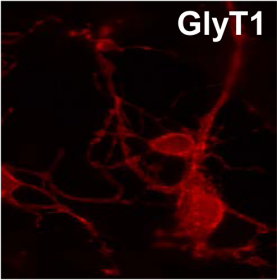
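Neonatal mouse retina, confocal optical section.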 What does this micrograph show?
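Two rounded-to-oval cell bodies lie one above the other near the centre, the upper one smaller, each outlined by brighter red at its edge. Long thin processes run from them across the field, some branching and crossing one another, extending toward the upper right and to the left. The label is concentrated along the cell margins and processes, with a finely granular appearance inside the larger cell body. The background is dark.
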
